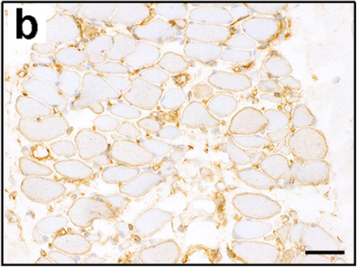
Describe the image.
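Cross-section of skeletal muscle in which brown stain outlines the rim of each fiber. The fibers are rounded and vary in size. A faint brown tint lies within the fibers. The tissue between the fibers is pale.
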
